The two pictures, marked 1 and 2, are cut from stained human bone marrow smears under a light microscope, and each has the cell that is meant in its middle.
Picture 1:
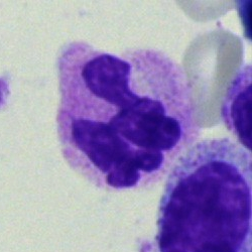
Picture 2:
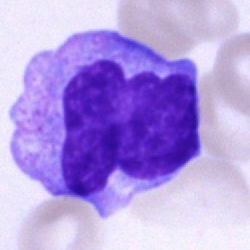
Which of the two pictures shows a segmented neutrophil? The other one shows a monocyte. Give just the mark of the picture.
1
